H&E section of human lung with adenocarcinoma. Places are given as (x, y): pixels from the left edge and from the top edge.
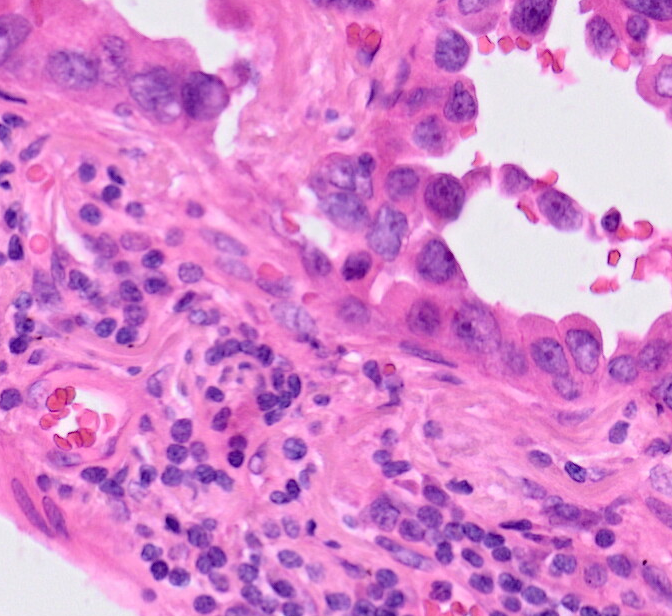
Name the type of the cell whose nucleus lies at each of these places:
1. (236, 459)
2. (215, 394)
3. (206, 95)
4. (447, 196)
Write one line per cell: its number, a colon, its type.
1: lymphocyte
2: lymphocyte
3: carcinoma cell
4: carcinoma cell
